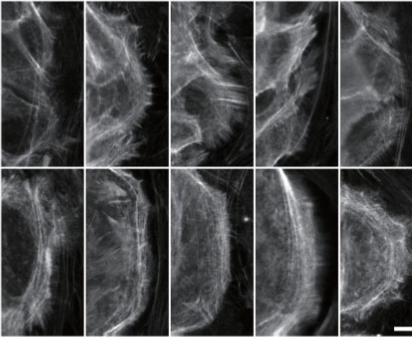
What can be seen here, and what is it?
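In some tiles the filaments run in varied directions across the cell. In others they gather into dense bundles that follow the curved outer cell edge, running parallel to it. Where these bundles lie along the border, they make a bright rim around the cell's margin.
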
